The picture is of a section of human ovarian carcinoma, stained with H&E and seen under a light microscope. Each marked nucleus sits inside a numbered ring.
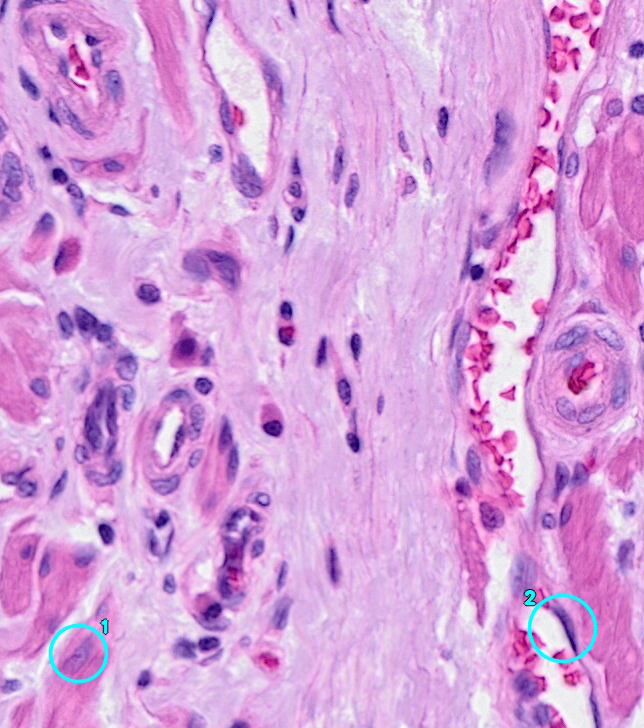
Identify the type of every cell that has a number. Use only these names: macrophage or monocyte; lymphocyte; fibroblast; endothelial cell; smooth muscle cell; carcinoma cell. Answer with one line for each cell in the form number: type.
1: smooth muscle cell
2: endothelial cell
